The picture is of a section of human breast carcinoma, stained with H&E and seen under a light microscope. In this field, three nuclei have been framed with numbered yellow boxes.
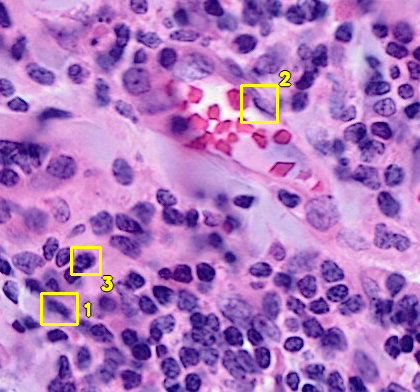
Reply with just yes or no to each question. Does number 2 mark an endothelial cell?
yes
